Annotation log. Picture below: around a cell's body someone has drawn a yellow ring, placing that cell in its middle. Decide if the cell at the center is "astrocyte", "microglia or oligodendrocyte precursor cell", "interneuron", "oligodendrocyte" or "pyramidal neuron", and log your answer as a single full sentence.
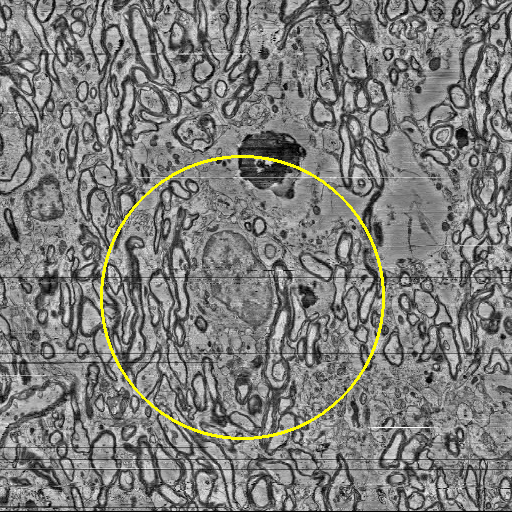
My entry records an oligodendrocyte as the cell sitting at the center of the yellow ring.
